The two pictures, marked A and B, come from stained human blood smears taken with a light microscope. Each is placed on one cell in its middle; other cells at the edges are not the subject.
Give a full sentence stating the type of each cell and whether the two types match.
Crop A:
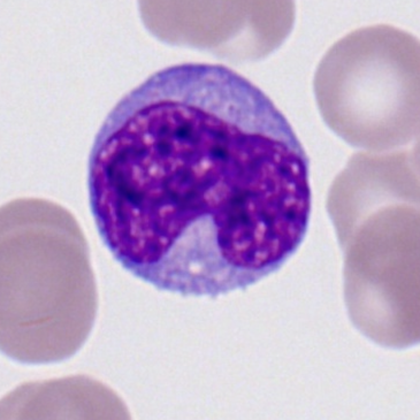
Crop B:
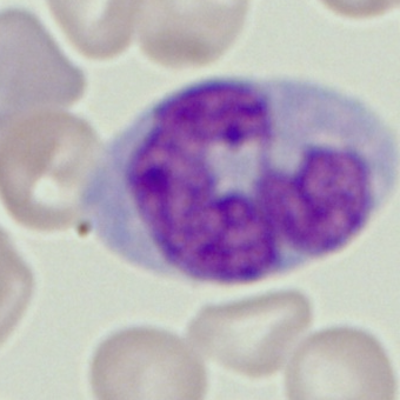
Yes, both crops show a cell each, and these are monocytes.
